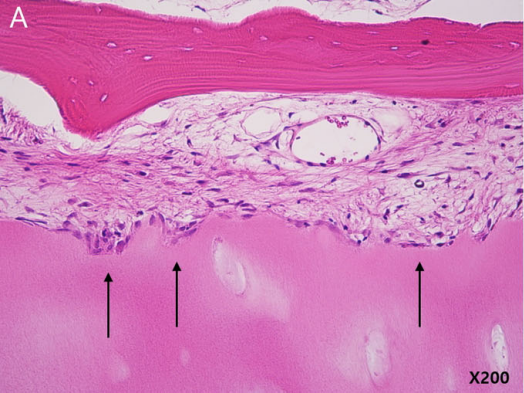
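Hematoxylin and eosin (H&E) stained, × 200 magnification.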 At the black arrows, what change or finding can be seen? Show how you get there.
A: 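Small clusters of cells sit in notches cut into the surface of the smooth pink matrix at the bottom. The arrows point up at these cell-filled indentations.
Answer: cellular invasion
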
